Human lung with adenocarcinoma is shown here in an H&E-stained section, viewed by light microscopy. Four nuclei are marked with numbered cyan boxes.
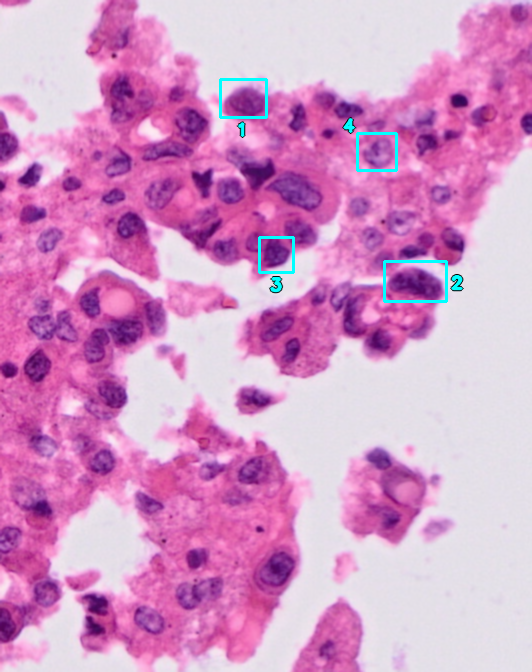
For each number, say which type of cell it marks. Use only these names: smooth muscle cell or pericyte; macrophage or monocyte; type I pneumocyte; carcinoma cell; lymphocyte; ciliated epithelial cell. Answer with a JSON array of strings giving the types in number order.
["carcinoma cell", "carcinoma cell", "carcinoma cell", "macrophage or monocyte"]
